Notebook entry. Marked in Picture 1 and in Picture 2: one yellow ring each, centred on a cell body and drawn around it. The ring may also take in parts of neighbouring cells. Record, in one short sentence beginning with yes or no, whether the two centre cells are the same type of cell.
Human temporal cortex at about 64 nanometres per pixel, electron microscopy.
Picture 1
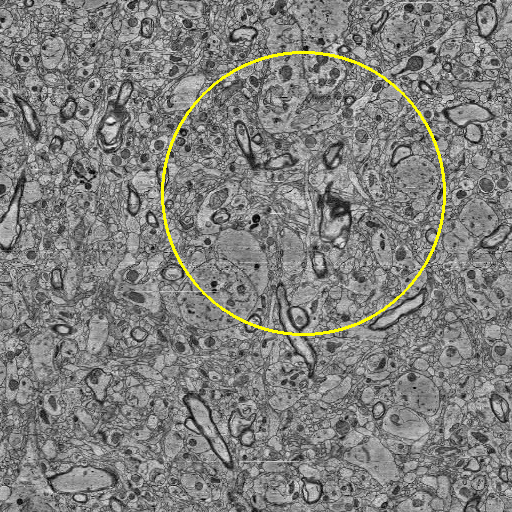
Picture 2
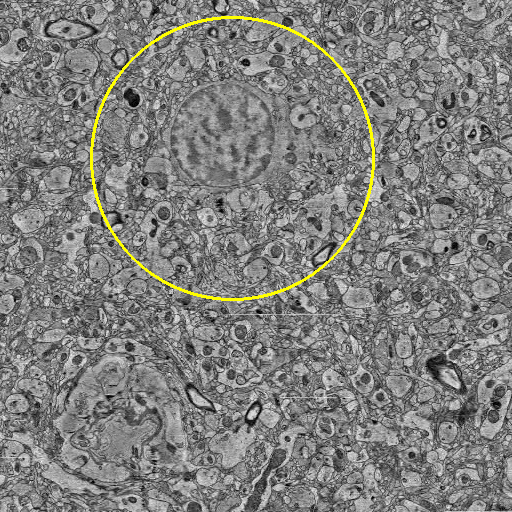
No, they are two types of cell.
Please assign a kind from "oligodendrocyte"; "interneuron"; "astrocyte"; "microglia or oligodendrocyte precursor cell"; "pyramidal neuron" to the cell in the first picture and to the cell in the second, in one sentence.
In the first picture we have a microglial cell or oligodendrocyte precursor cell, and in the second, an oligodendrocyte.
